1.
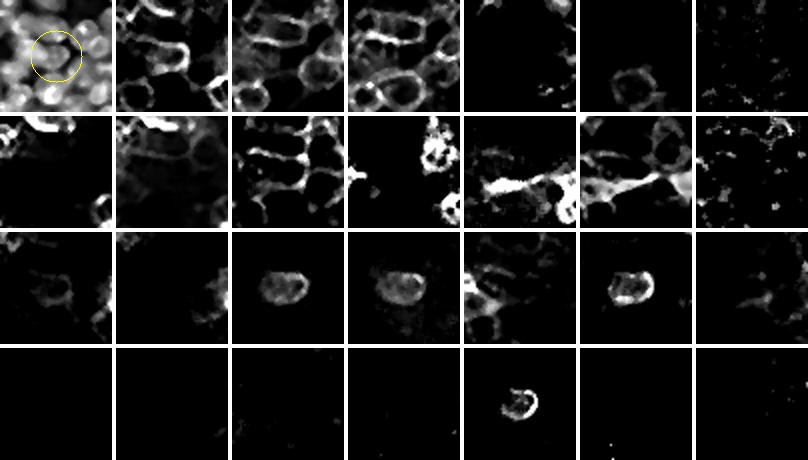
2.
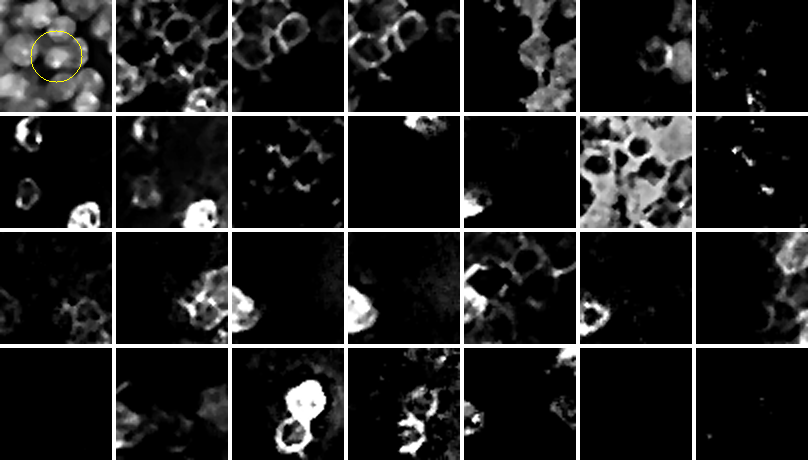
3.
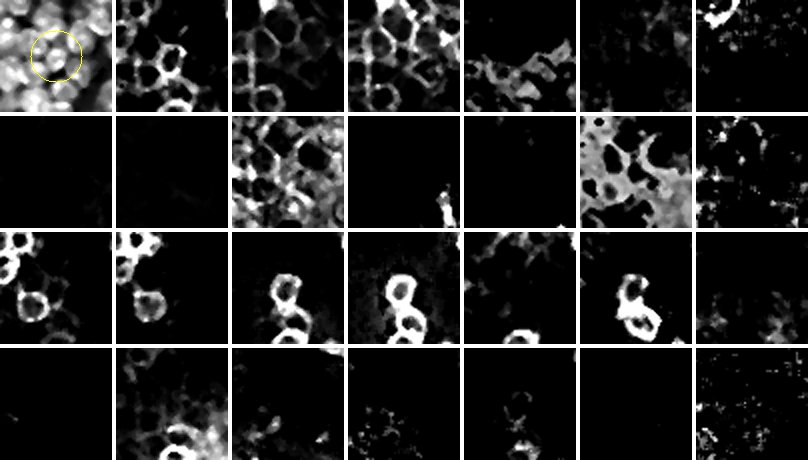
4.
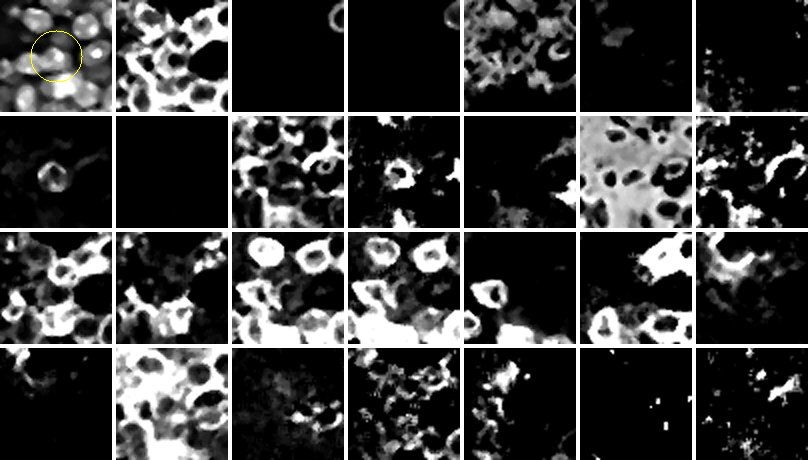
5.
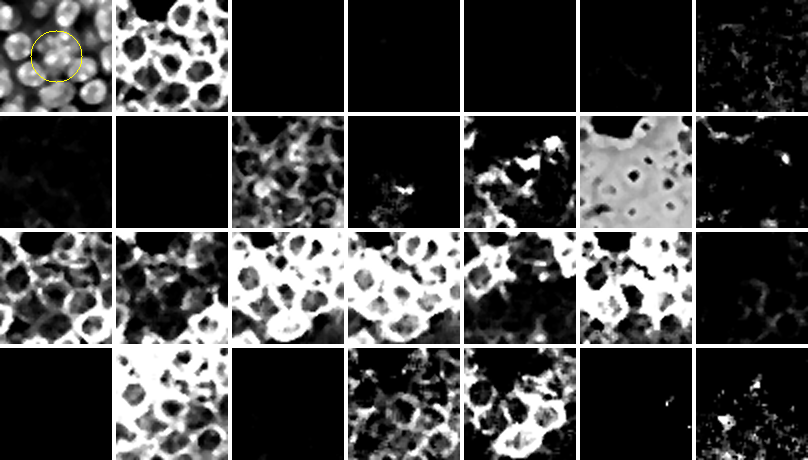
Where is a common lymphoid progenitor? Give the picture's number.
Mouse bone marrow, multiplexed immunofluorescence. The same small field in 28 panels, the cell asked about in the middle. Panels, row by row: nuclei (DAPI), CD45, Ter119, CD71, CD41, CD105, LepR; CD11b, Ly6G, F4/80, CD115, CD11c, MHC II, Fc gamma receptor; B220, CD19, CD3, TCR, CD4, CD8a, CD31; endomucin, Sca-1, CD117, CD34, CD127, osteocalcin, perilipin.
1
